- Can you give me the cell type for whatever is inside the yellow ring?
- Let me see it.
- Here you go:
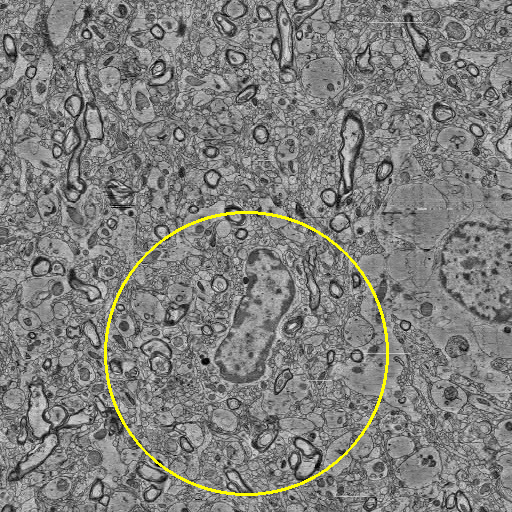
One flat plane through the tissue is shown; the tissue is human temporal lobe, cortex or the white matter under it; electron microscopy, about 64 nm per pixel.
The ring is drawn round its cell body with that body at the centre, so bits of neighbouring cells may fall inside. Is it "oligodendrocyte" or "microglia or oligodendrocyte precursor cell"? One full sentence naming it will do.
The cell body in the middle of the ring in this picture belongs to a microglial cell or oligodendrocyte precursor cell.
